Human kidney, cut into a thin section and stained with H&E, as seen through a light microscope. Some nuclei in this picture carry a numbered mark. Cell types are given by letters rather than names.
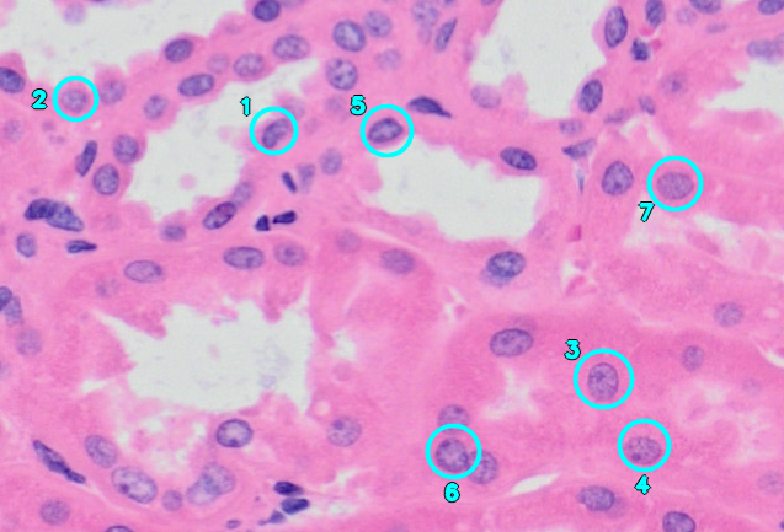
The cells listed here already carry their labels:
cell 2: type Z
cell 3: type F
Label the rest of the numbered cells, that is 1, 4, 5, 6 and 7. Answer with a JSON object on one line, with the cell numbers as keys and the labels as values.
{"1": "type Z", "4": "type F", "5": "type Z", "6": "type F", "7": "type F"}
